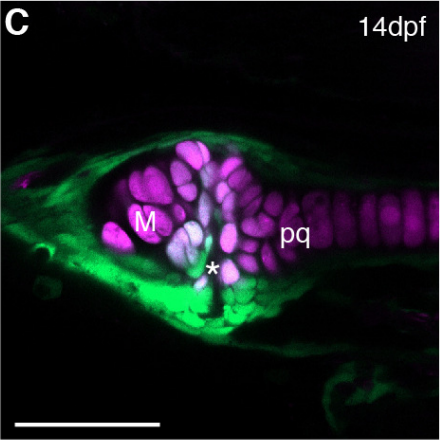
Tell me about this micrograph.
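This is the jaw joint where two cartilage elements meet, filled with large rounded magenta chondrocytes of varied size. A broad sheath of green cells surrounds the cartilage and forms a thick mass of small cells below the joint.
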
